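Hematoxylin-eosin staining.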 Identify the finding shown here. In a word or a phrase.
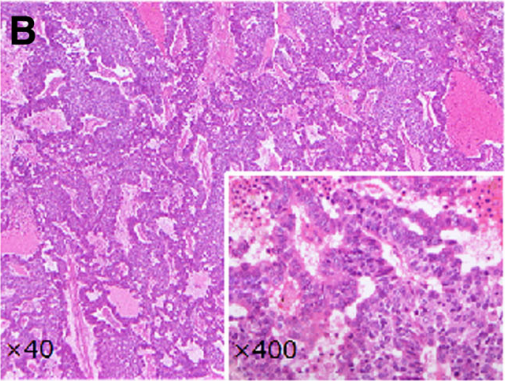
high nucleus-cytoplasm ratio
